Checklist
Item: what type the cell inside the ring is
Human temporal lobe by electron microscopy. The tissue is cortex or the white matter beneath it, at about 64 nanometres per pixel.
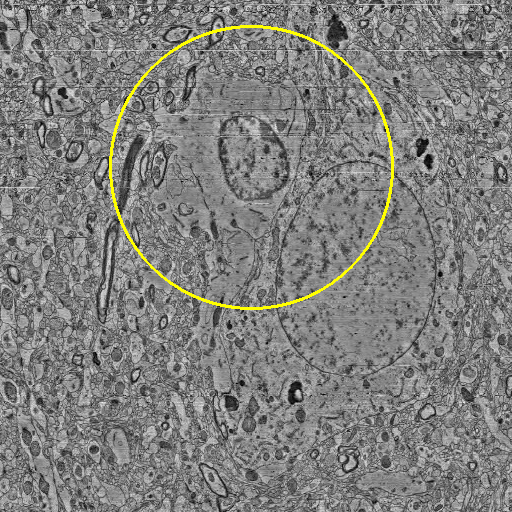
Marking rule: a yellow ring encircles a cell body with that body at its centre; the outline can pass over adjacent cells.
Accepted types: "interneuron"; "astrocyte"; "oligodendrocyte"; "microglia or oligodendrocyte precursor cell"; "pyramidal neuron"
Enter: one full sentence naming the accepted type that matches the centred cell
The entry is that an astrocyte lies at the centre of the yellow ring.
